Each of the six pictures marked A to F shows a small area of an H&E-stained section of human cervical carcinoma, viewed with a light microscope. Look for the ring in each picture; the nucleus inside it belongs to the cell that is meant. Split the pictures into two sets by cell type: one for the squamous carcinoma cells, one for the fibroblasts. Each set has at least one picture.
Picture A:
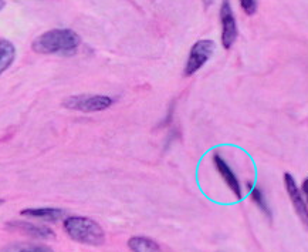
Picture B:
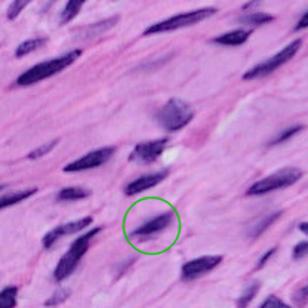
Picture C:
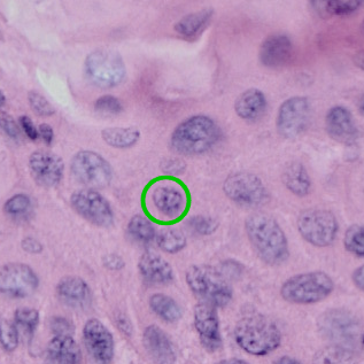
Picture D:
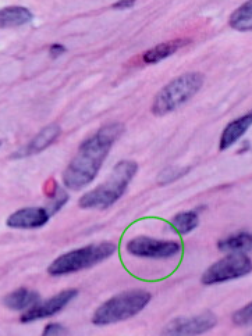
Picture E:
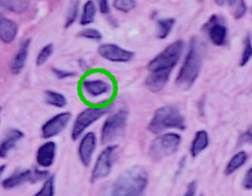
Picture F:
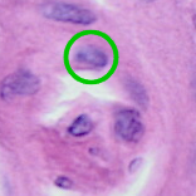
A: fibroblast
B: fibroblast
C: squamous carcinoma cell
D: fibroblast
E: fibroblast
F: squamous carcinoma cell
